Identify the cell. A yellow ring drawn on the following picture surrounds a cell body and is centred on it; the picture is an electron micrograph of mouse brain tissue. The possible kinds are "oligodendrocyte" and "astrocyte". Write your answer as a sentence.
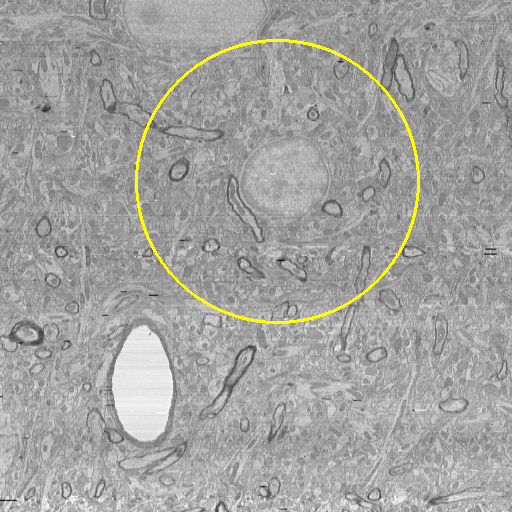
The cell identified by the ring is an oligodendrocyte.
